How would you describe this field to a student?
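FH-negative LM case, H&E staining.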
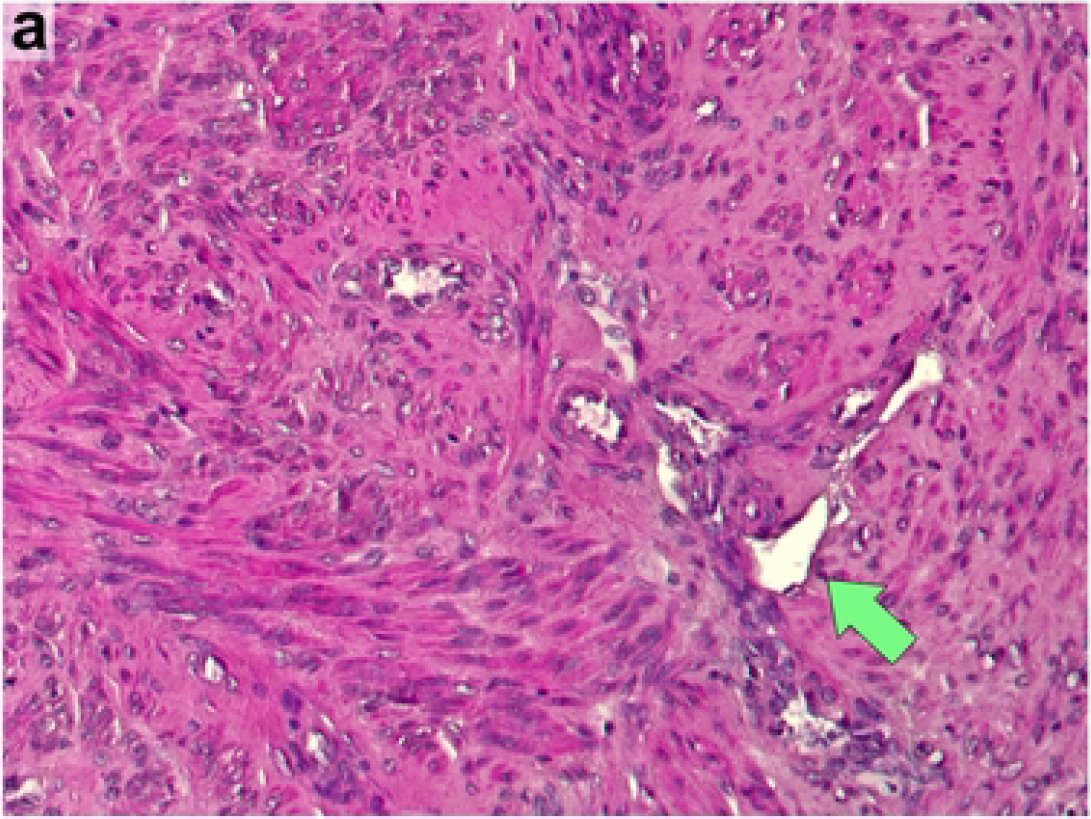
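This is a tumour made of spindle-shaped cells with abundant pink cytoplasm, arranged in interlacing fascicles and whorls that run in different directions across the field. The nuclei are elongated to ovoid and purple, some plump and irregular. Smaller slit-like and round clear spaces also appear among the cells.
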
